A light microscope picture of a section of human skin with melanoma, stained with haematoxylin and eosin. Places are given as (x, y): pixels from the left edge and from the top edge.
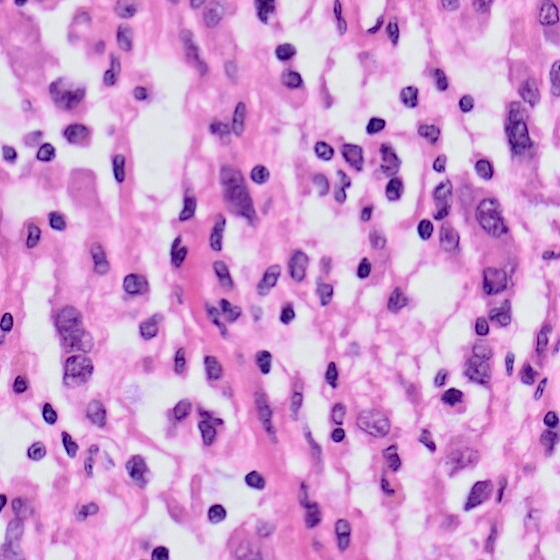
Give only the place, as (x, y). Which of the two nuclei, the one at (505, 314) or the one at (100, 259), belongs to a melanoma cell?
(505, 314)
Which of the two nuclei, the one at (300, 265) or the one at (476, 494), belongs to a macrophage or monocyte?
(300, 265)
